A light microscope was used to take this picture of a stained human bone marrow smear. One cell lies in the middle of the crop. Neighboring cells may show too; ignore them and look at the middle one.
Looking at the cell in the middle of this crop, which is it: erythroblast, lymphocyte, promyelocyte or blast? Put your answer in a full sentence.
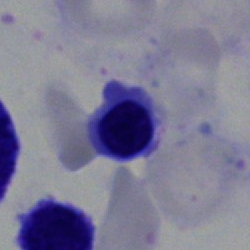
Answering briefly, the cell in the middle is an erythroblast.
